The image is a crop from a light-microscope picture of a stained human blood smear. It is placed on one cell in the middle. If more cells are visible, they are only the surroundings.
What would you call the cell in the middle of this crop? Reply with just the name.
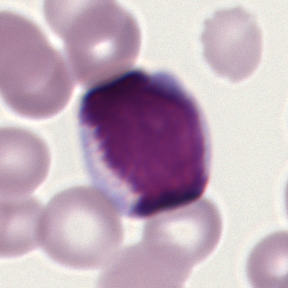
large granular lymphocyte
